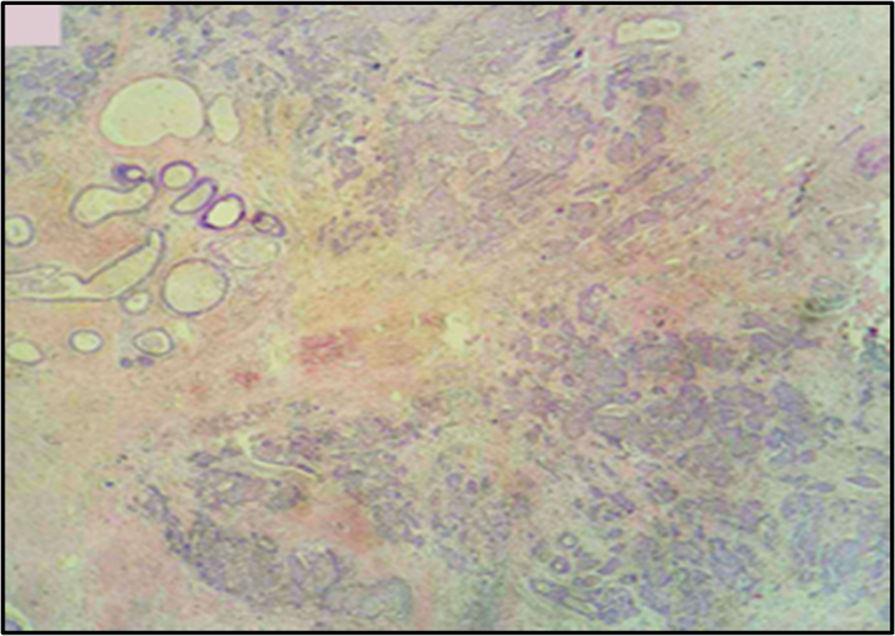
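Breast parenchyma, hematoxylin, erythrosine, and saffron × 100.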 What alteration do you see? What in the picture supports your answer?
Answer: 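Tumor proliferation in small masses of variable size. Numerous purple-staining epithelial clusters of differing size and shape fill most of the field. The clusters are scattered through pink stroma rather than forming orderly ducts and lobules.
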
